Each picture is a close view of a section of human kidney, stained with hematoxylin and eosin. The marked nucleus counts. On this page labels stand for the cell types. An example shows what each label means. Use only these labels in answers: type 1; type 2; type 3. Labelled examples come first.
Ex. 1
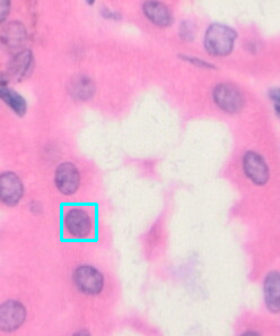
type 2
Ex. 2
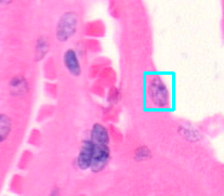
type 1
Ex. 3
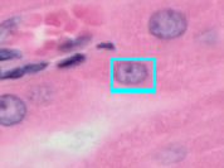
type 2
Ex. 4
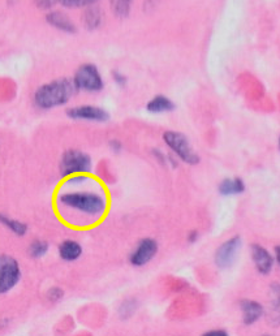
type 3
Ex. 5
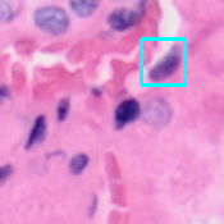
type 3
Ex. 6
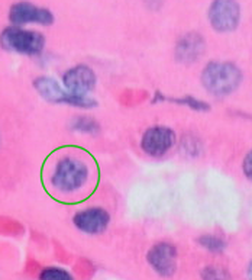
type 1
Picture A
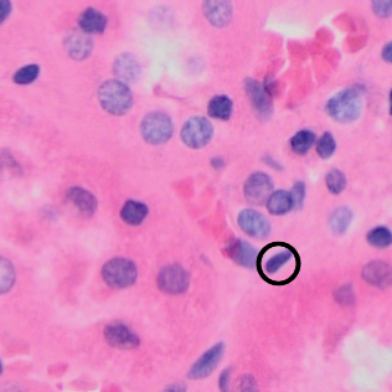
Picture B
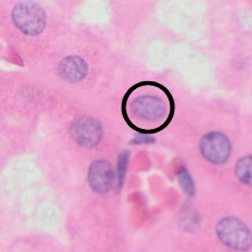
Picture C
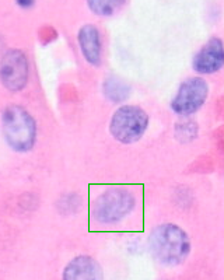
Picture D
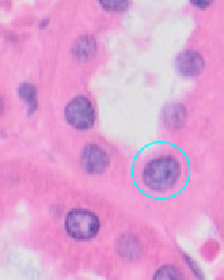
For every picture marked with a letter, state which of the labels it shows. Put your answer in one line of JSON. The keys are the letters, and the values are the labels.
{"A": "type 3", "B": "type 2", "C": "type 1", "D": "type 1"}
